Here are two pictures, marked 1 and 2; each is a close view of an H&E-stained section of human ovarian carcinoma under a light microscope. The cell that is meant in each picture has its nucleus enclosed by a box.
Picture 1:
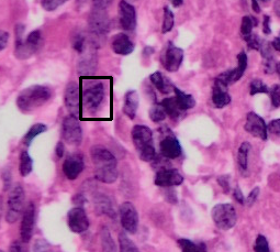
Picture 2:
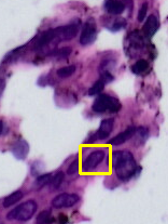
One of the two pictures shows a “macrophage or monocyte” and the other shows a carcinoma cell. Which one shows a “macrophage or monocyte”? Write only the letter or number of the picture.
1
